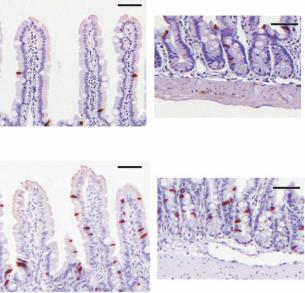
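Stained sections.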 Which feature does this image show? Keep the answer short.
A: villi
